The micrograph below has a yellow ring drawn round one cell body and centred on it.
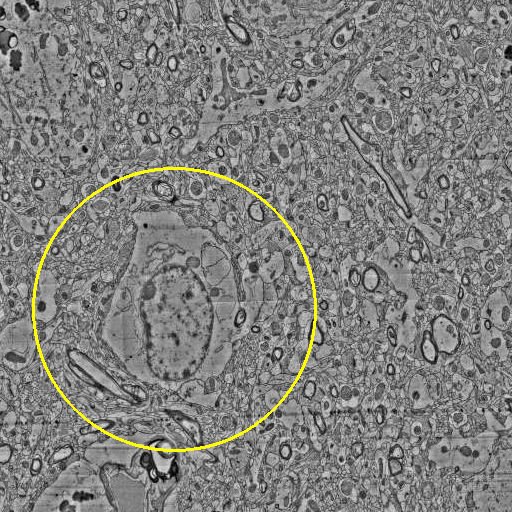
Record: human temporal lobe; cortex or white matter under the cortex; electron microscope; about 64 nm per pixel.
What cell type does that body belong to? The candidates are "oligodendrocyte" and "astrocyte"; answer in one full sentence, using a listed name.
This is an astrocyte, the cell whose body lies at the centre of the ring.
